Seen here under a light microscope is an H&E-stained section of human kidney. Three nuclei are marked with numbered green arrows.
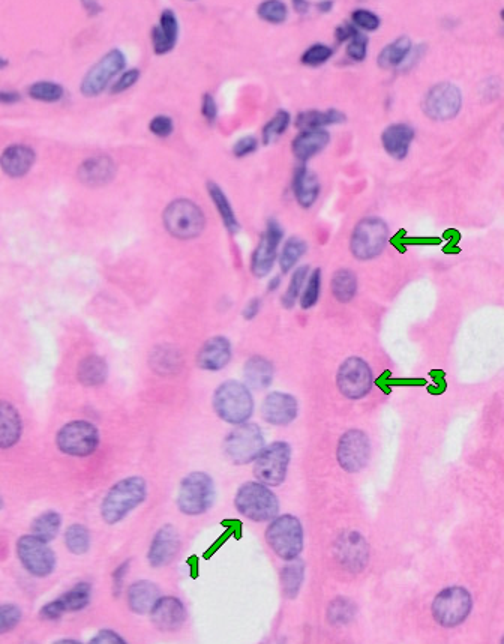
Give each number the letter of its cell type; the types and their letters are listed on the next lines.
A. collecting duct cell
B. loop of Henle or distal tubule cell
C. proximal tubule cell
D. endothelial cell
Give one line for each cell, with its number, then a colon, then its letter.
1: A
2: C
3: C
